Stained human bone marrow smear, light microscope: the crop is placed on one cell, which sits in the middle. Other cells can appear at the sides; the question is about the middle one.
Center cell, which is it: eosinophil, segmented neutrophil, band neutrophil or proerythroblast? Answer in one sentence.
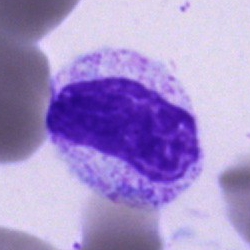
At the middle of the frame sits a band neutrophil.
